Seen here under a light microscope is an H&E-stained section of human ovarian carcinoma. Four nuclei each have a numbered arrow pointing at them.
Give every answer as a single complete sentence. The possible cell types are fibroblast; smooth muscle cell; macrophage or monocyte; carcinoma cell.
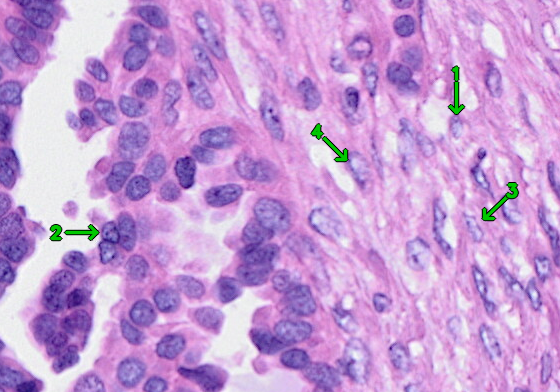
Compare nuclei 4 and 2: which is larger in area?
Nucleus 4 is the larger one, covering about 2.5 times the area of nucleus 2.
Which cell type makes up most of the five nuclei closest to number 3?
Fibroblasts account for more than half of the five nuclei nearest to number 3.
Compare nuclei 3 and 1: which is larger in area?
It is nucleus 3, which covers about 1.5 times the area of nucleus 1.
